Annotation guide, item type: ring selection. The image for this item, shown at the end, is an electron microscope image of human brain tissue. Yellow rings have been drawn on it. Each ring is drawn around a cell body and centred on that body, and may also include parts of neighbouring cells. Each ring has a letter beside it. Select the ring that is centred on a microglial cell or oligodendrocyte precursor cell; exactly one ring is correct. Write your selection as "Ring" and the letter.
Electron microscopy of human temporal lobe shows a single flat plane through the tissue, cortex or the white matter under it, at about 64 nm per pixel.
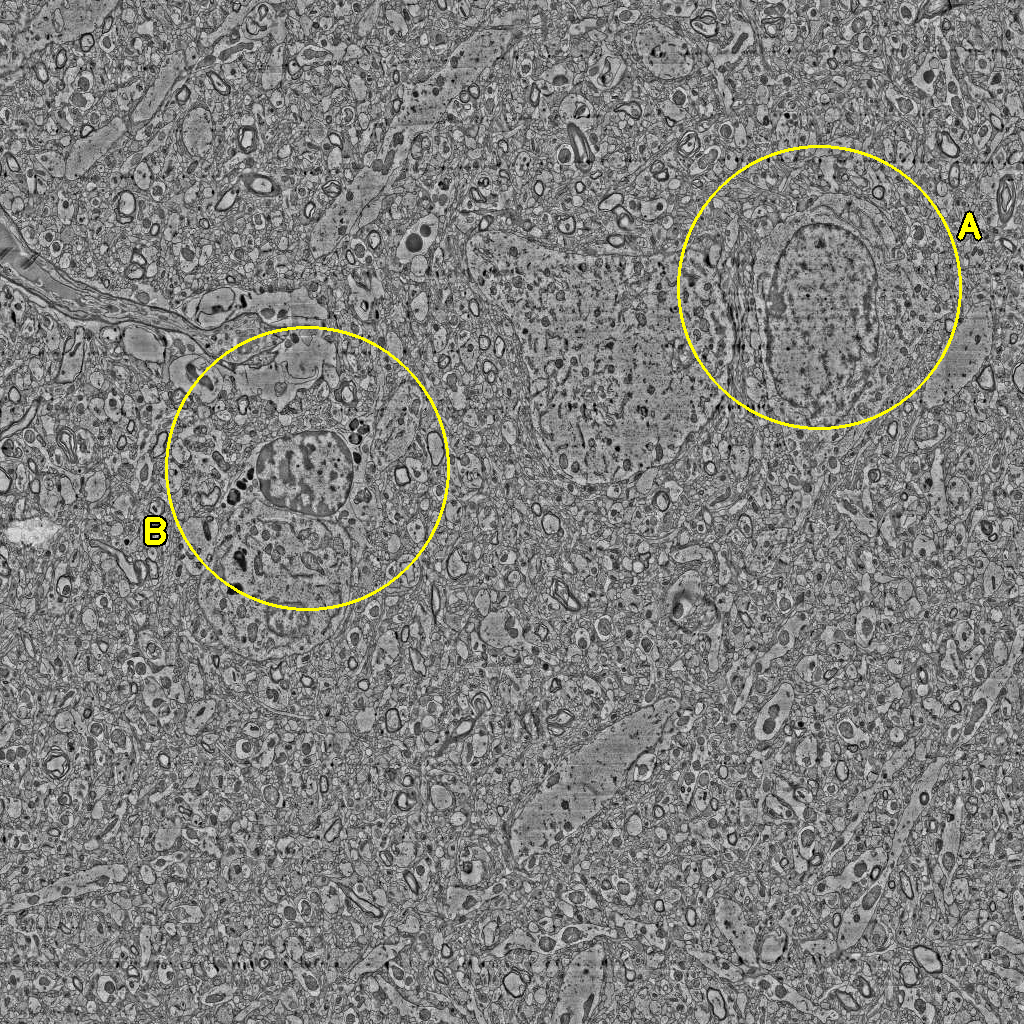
Ring B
